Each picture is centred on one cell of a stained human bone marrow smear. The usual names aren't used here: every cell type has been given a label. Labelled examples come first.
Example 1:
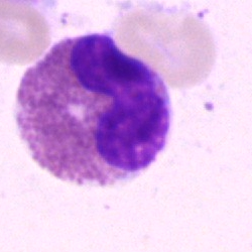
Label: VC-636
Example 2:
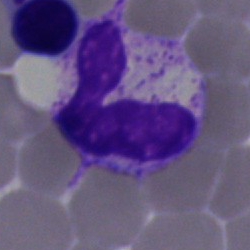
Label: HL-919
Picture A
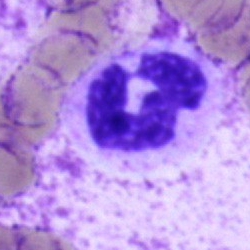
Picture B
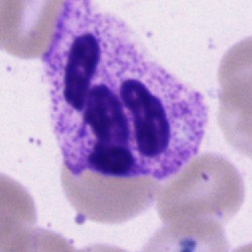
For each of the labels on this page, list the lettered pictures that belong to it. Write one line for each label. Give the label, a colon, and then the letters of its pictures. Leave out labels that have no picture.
HL-919: A, B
